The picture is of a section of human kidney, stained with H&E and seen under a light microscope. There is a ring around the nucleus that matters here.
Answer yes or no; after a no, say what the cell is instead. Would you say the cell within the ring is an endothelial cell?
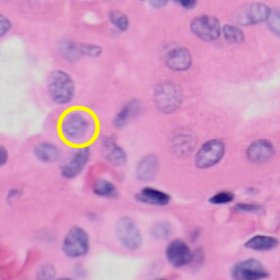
No, it is a loop of Henle or distal tubule cell.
